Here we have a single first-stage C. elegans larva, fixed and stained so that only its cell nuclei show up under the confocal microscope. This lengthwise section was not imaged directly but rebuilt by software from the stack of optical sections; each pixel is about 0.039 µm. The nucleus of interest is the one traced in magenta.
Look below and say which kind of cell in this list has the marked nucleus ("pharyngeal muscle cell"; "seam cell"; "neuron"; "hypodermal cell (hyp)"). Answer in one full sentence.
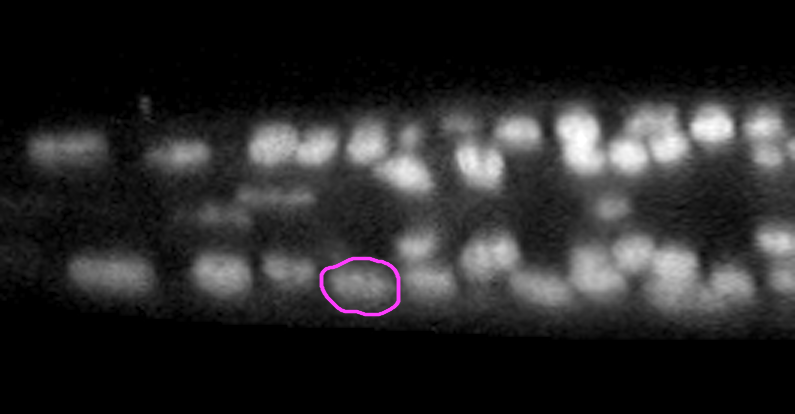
The nucleus comes from a seam cell.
